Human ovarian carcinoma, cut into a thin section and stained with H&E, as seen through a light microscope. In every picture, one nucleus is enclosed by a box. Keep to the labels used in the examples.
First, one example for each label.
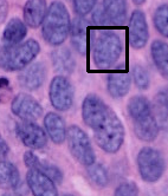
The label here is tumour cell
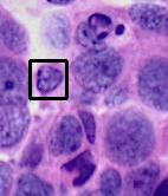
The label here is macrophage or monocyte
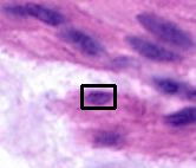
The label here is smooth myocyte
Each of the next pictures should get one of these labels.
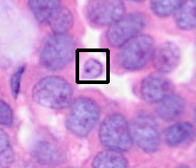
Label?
macrophage or monocyte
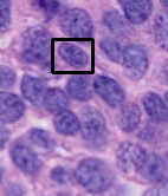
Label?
tumour cell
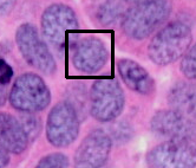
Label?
tumour cell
